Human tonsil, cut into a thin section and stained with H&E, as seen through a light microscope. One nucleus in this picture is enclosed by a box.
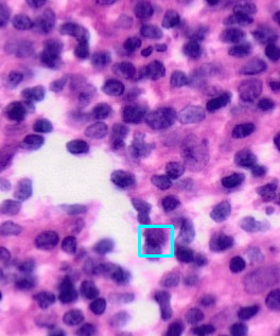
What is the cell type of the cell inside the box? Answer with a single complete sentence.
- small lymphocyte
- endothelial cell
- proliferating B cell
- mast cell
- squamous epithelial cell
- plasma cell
The cell type of the cell inside the box is that of a proliferating B cell.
